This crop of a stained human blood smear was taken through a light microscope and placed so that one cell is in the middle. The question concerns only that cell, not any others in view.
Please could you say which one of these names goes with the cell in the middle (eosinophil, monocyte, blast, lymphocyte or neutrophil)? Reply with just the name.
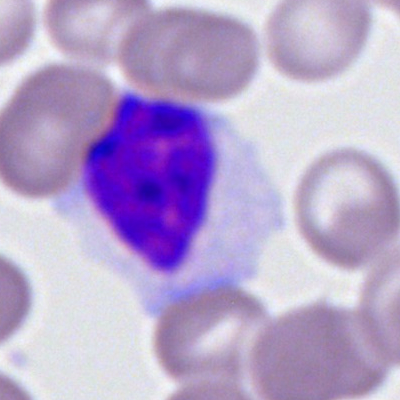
lymphocyte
